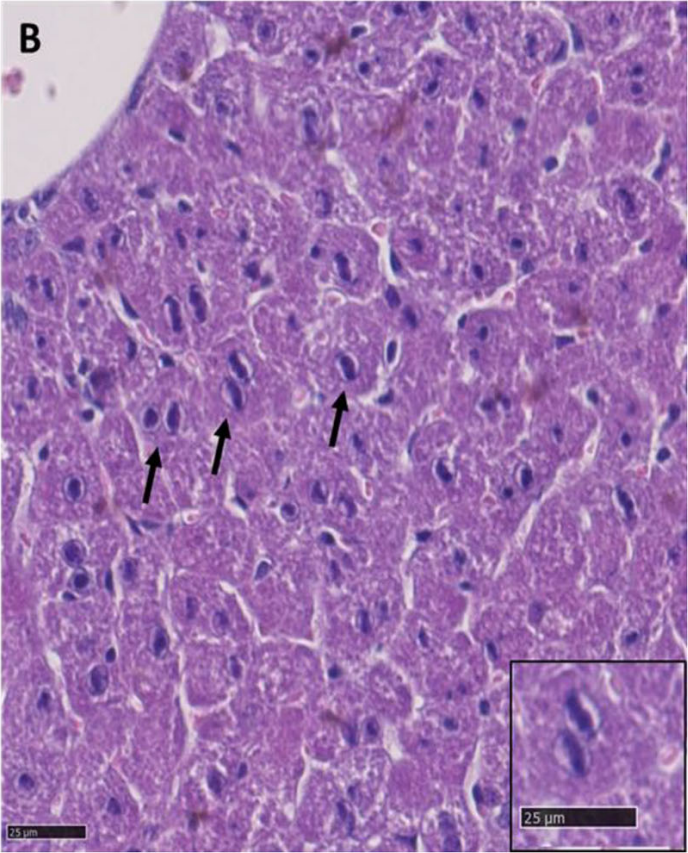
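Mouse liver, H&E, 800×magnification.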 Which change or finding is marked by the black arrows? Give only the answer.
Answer: Nuclear alterations consisting of linear chromatin with small lateral projections.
